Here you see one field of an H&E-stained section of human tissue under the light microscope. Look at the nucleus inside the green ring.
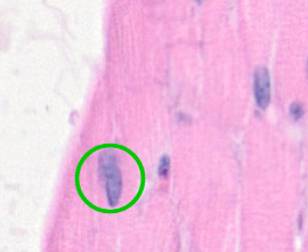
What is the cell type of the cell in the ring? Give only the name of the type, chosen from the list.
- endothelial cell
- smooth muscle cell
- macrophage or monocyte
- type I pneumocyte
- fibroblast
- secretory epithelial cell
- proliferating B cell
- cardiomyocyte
cardiomyocyte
